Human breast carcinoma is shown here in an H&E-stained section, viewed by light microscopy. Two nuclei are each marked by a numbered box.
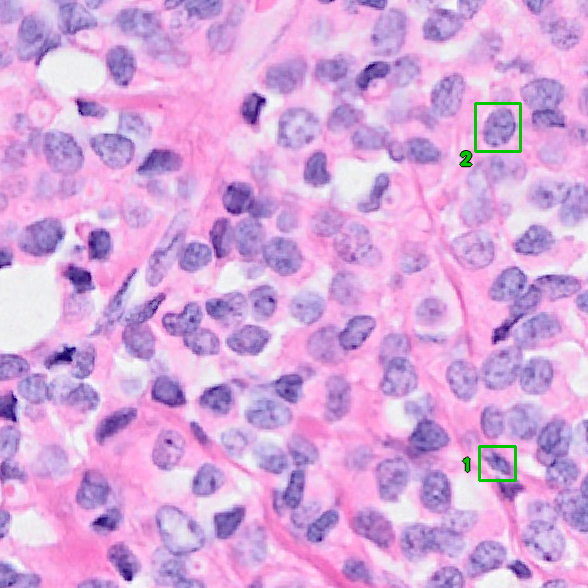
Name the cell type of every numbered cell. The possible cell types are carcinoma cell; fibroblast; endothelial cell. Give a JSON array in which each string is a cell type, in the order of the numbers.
["endothelial cell", "carcinoma cell"]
